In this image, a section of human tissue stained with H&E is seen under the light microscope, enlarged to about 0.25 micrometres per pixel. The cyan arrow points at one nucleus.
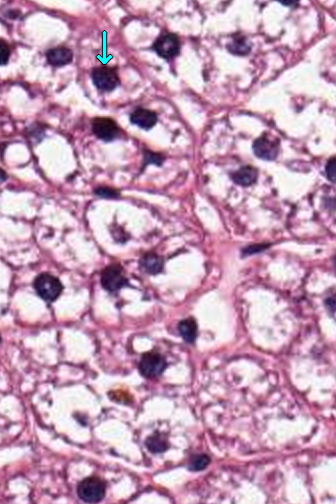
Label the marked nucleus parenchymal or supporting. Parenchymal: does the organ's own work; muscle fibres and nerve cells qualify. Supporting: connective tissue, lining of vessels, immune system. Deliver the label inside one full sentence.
The parenchymal cell containing the marked nucleus is an adrenal cortical cell.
